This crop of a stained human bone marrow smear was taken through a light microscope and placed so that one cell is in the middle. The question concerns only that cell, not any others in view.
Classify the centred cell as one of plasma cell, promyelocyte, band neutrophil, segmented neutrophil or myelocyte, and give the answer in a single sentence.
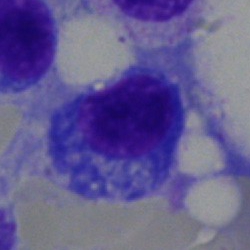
Regarding the central cell, it is a plasma cell.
